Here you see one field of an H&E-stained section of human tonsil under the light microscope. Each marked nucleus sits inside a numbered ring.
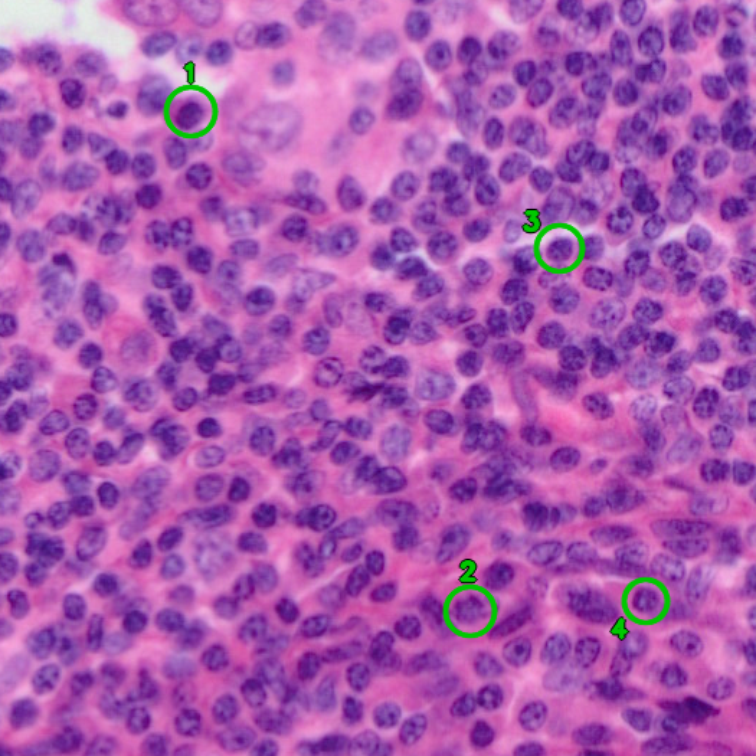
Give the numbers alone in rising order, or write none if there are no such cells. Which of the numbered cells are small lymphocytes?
3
